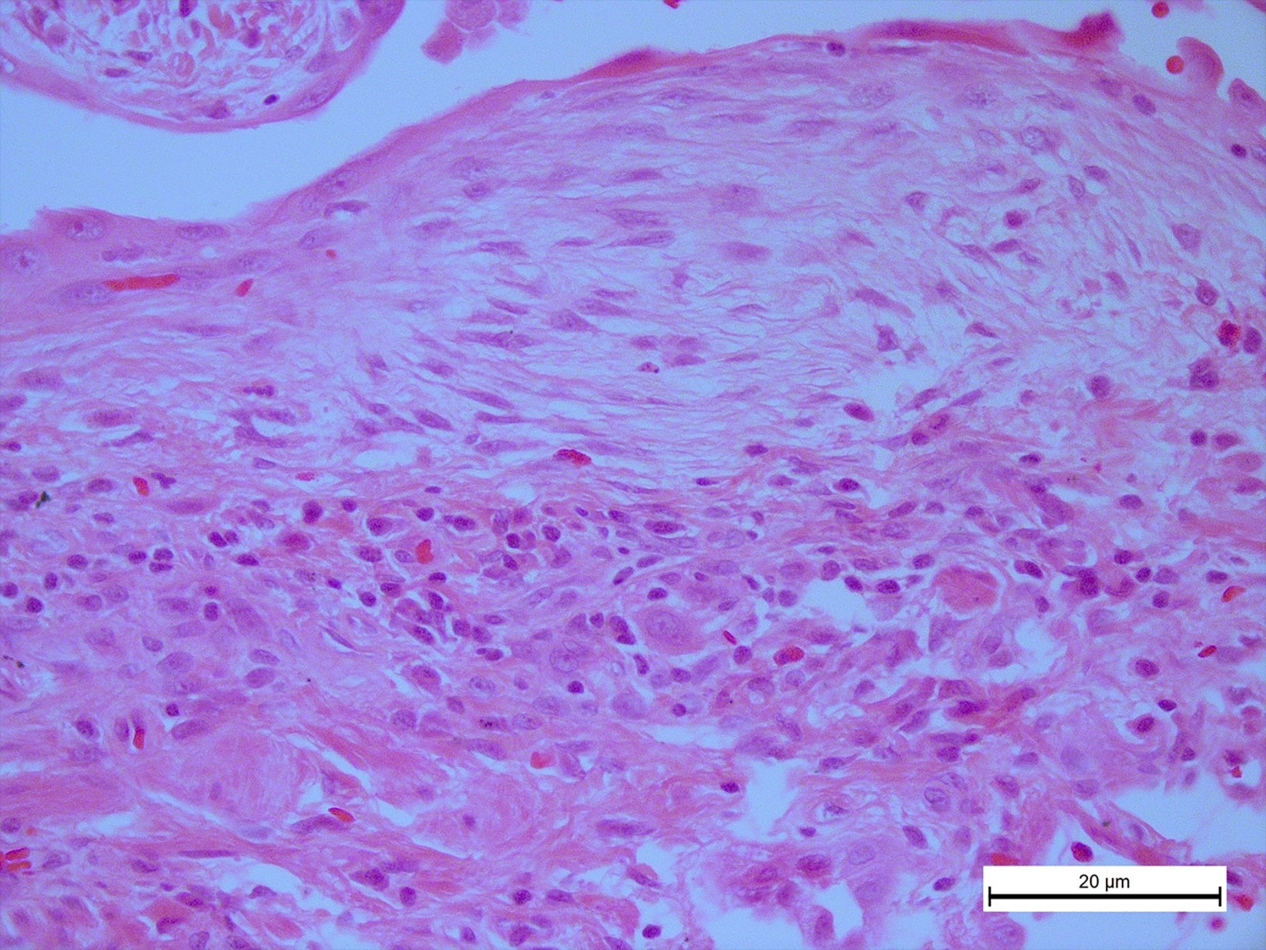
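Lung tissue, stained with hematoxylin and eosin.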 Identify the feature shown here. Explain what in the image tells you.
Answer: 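Upper half shows a rounded area of spindle-shaped cells lying roughly parallel to one another. The spindle cells sit in a pale, loose, faintly bluish-pink matrix. The area is covered by a thin flattened cell layer along the air space at the top. The answer: fibroblastic focus.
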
